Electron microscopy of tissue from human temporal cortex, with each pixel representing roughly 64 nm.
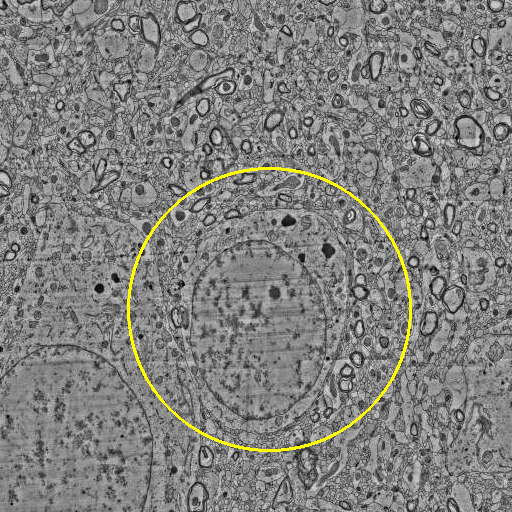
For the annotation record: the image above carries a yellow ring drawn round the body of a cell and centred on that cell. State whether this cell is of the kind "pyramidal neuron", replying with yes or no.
Yes, this cell is of that kind.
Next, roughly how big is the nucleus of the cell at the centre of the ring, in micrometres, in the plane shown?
The nucleus is approximately 11 micrometers long by 9 micrometers wide in this plane.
